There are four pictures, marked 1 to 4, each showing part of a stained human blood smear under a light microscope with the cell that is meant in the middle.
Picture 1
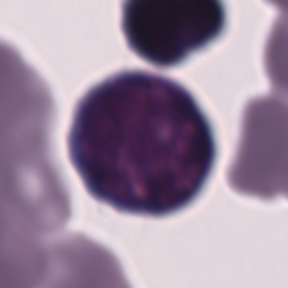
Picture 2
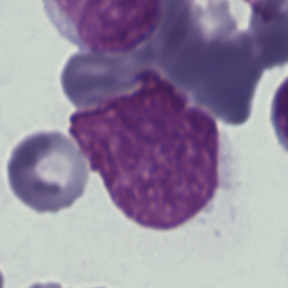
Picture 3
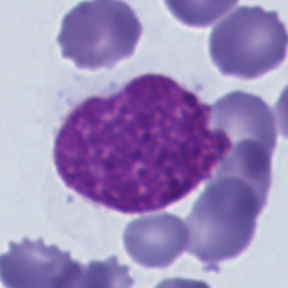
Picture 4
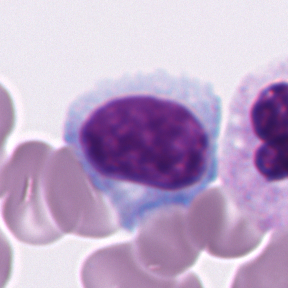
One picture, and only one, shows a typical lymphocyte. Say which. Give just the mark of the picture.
4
